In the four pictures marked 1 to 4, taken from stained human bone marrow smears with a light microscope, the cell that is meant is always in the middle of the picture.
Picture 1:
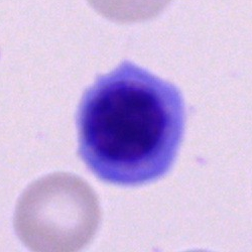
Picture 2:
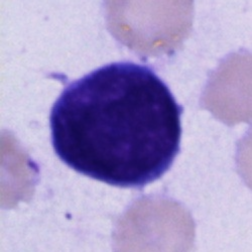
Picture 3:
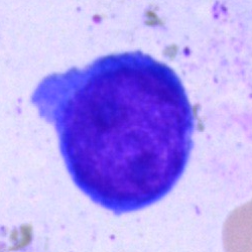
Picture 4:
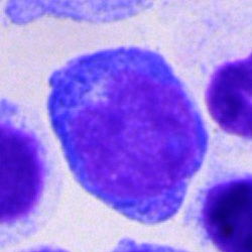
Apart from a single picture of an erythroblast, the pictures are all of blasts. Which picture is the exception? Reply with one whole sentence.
Picture 1 shows the erythroblast.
